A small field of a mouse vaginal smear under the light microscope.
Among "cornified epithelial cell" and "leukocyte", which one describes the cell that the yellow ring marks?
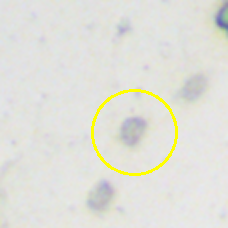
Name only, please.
leukocyte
